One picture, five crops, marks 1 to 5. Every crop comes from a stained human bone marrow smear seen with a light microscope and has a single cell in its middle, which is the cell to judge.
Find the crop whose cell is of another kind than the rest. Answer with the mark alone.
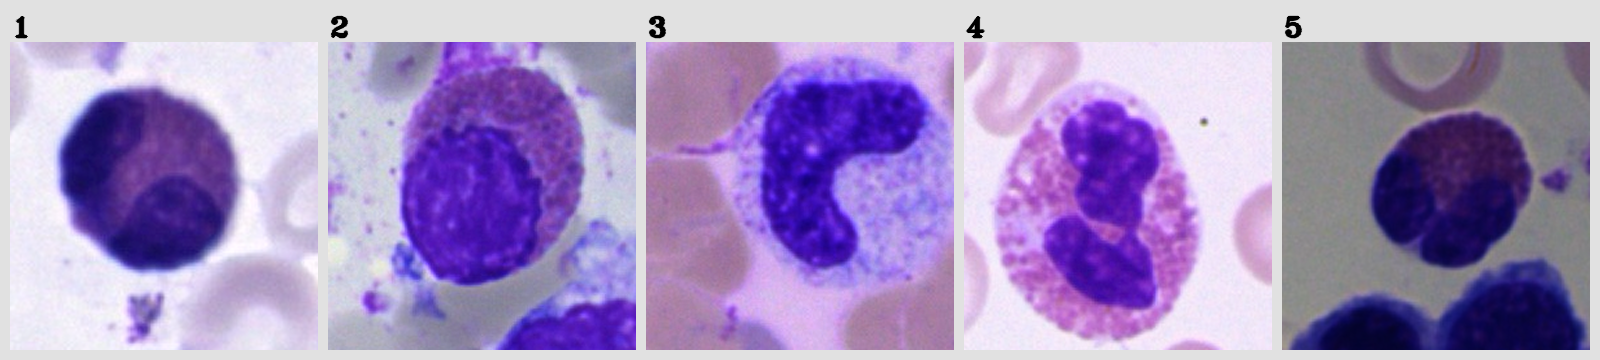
3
